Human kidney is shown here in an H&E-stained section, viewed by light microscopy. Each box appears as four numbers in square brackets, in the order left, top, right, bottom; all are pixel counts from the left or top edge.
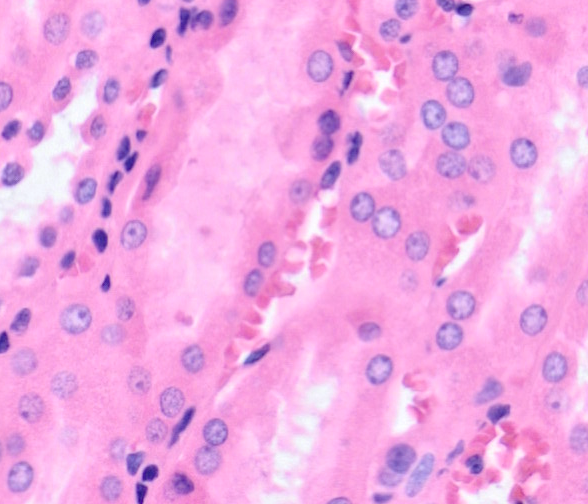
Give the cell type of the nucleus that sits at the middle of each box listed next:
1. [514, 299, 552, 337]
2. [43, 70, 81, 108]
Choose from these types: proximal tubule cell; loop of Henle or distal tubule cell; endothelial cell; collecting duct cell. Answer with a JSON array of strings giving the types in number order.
["proximal tubule cell", "loop of Henle or distal tubule cell"]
